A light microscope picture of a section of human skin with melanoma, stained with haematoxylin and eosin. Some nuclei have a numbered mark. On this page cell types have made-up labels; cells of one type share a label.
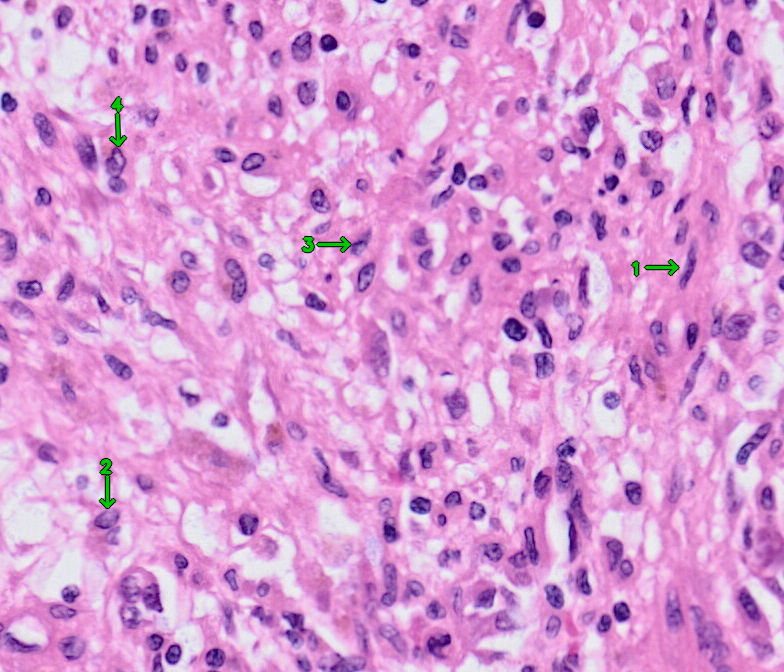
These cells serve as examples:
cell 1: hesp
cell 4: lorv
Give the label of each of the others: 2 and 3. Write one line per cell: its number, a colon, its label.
2: lorv
3: lorv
